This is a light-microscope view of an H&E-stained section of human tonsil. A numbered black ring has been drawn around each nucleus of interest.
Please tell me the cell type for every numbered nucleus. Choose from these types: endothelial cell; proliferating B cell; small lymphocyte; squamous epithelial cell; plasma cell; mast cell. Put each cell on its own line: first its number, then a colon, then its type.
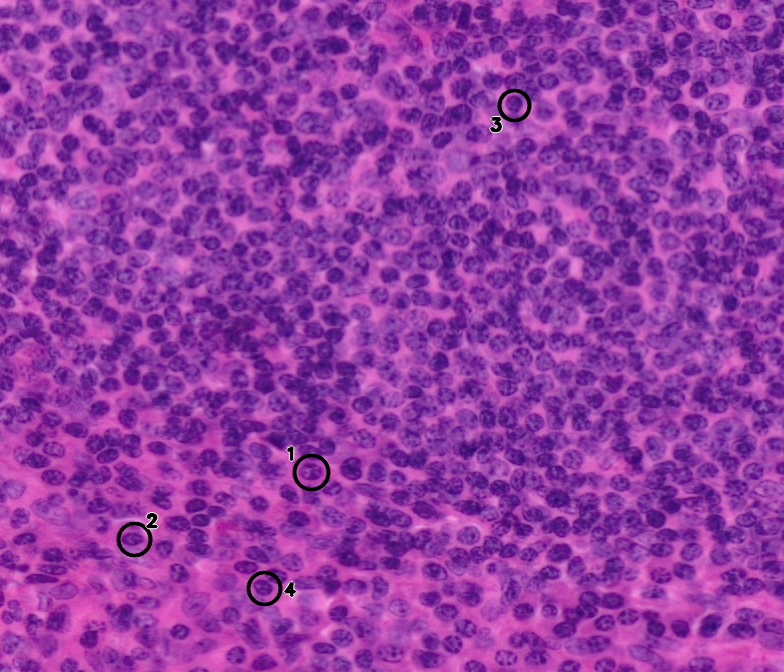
1: plasma cell
2: plasma cell
3: small lymphocyte
4: plasma cell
